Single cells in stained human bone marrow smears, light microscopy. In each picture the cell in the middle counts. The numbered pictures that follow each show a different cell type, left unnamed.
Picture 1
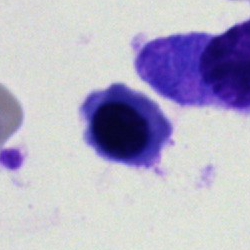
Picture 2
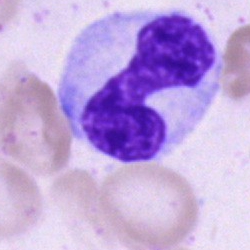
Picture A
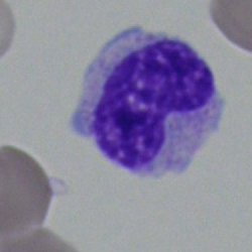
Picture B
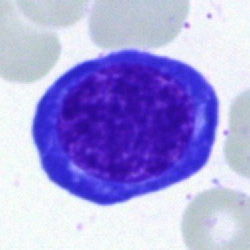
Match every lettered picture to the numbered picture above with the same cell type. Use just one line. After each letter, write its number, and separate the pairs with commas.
A 2, B 1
